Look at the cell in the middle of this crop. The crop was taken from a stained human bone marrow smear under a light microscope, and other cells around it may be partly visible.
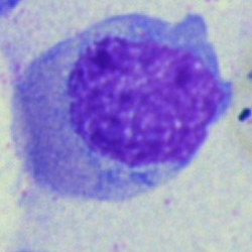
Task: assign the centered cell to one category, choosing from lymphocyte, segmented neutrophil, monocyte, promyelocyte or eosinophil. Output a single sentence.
Answering briefly, the cell in the middle is a monocyte.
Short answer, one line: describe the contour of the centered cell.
The periphery of this cell is uneven, with ragged portions or projections.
